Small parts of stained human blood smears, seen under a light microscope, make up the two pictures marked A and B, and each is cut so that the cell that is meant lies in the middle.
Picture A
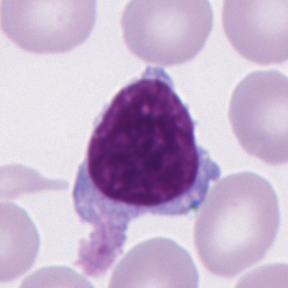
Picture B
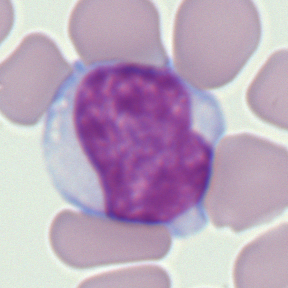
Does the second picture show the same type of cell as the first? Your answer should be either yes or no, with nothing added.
no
